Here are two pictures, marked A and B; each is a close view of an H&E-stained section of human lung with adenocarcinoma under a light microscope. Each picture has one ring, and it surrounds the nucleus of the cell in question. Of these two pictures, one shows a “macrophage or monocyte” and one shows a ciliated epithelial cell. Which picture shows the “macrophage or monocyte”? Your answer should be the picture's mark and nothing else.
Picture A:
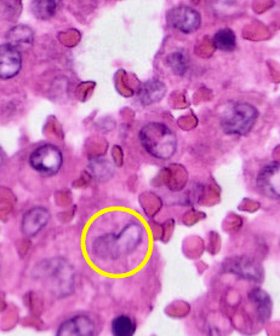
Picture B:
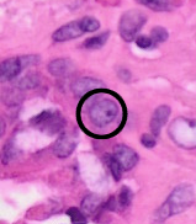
A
